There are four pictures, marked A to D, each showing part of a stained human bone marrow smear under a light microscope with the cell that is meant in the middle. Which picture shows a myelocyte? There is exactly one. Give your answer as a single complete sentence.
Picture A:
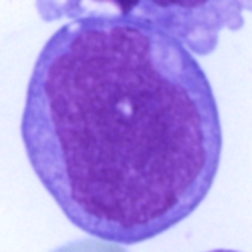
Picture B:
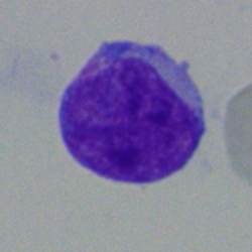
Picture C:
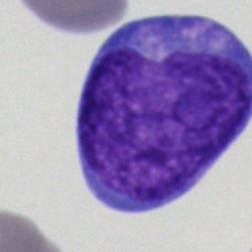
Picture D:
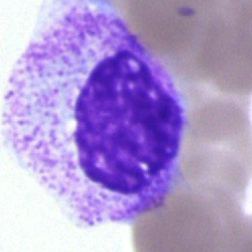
It is picture D that shows the myelocyte.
